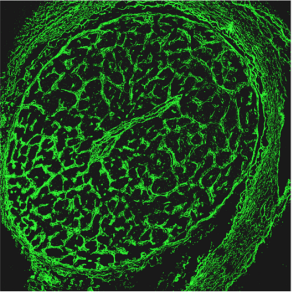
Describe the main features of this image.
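A cross-section of the optic nerve in which green outlines a fine honeycomb of septa separating the dark nerve bundles. The green is continuous with a thicker, fibrous-looking layered sheath around the nerve and with the tissue along a central vessel.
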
